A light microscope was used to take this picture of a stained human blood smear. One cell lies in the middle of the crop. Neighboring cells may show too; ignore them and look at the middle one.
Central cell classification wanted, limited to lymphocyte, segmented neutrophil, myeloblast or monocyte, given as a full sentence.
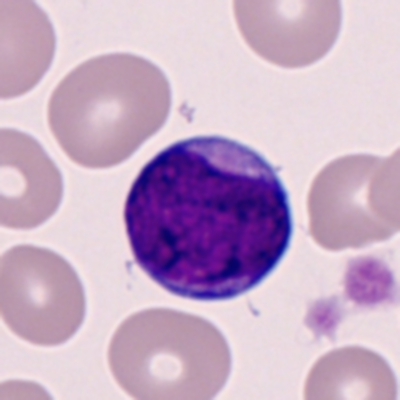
This crop's central cell is a myeloblast.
